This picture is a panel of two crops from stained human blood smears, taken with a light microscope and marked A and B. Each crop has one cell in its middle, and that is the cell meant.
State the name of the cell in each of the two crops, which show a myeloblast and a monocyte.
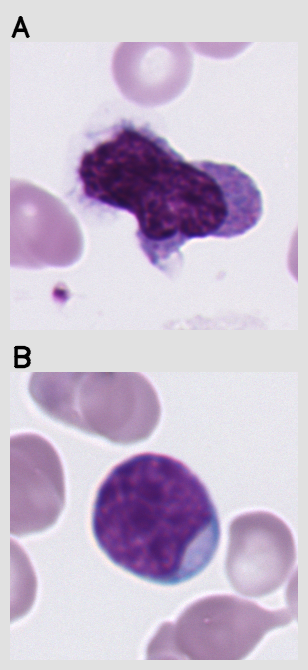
A: monocyte
B: myeloblast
